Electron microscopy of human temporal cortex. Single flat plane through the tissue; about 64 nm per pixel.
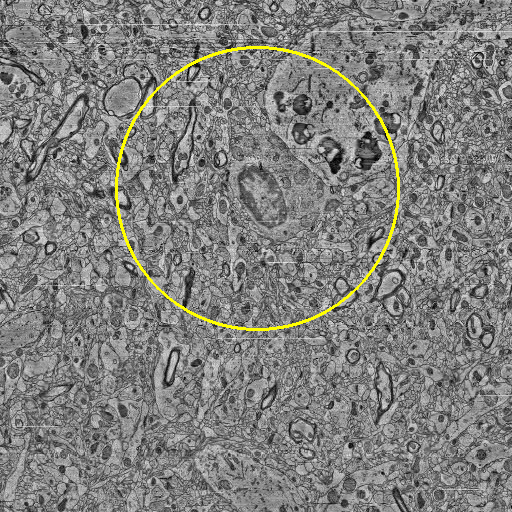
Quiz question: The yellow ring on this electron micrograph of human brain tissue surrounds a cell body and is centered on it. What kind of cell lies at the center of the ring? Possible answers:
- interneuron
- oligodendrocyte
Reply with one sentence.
The ring's center lies on an oligodendrocyte.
